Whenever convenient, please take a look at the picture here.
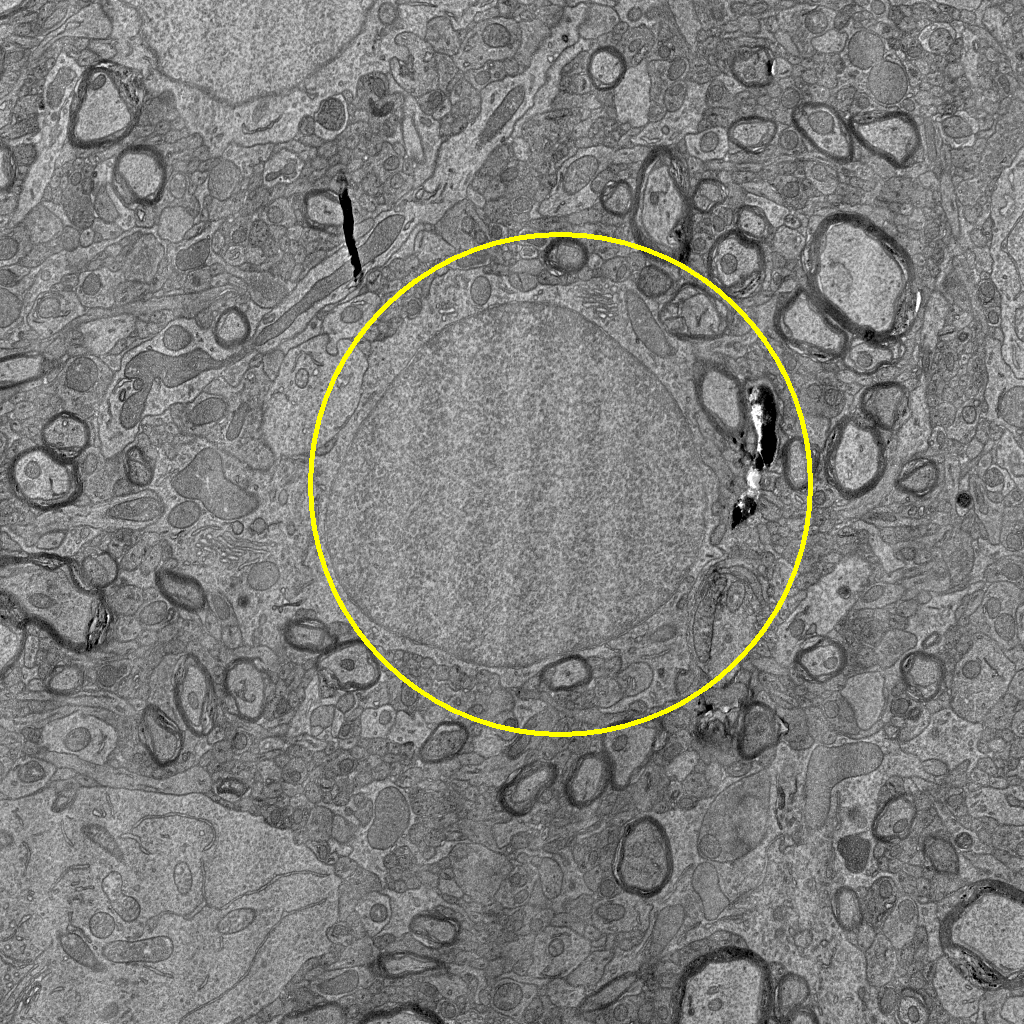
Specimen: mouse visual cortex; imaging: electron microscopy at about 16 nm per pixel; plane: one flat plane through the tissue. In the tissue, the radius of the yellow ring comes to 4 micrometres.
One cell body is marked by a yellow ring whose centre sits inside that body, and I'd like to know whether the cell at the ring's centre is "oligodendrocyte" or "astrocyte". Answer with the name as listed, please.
astrocyte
